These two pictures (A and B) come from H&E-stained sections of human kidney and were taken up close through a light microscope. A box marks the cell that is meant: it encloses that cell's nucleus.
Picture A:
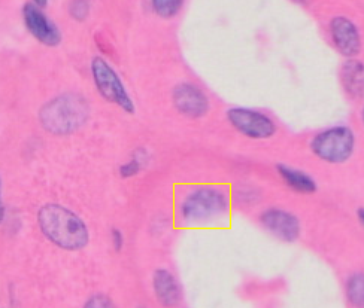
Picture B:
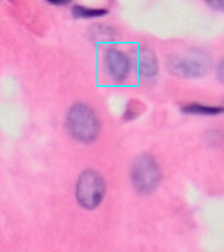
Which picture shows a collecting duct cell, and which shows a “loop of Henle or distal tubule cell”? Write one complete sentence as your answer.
It is picture A that shows a “loop of Henle or distal tubule cell”, and picture B that shows a collecting duct cell.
